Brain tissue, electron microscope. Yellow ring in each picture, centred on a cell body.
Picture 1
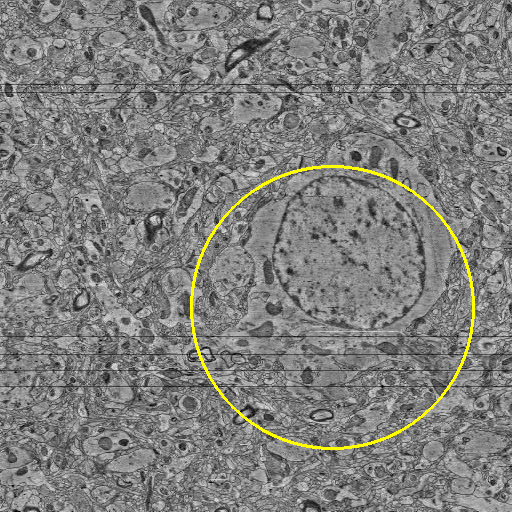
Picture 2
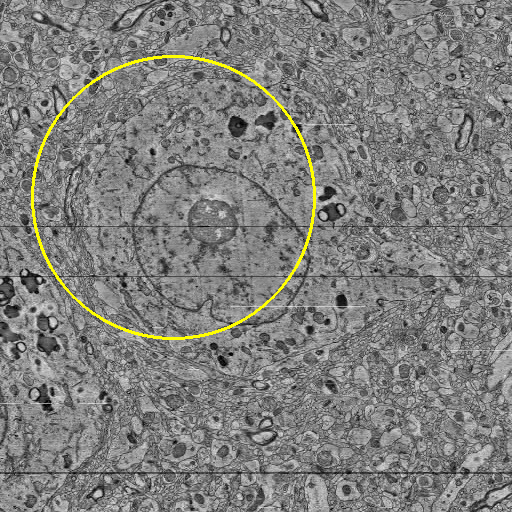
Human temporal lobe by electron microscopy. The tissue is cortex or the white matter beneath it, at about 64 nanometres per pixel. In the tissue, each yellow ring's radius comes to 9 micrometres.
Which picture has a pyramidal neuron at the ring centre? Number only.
2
